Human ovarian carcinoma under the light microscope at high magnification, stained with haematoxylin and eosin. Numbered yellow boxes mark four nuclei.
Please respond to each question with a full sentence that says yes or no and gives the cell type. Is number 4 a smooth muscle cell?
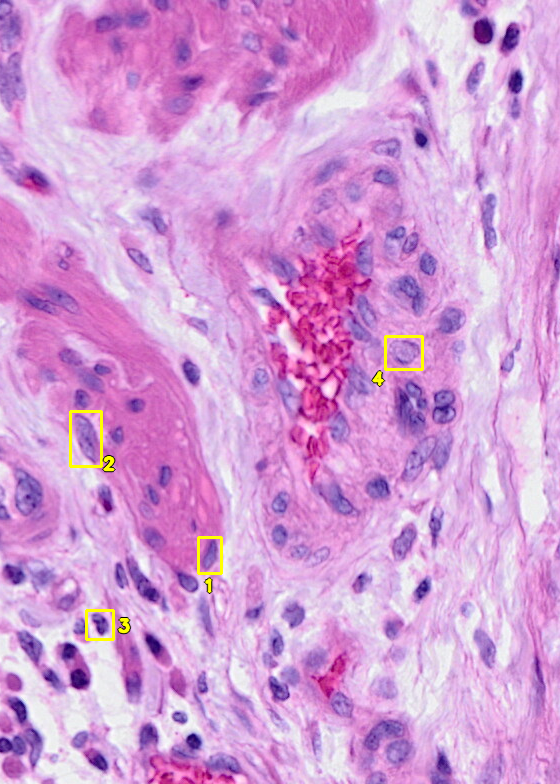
No, number 4 is assigned to a fibroblast, not to a smooth muscle cell.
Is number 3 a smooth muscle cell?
No, the cell marked 3 is a lymphocyte rather than a smooth muscle cell.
